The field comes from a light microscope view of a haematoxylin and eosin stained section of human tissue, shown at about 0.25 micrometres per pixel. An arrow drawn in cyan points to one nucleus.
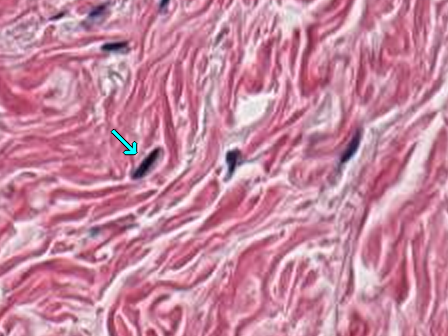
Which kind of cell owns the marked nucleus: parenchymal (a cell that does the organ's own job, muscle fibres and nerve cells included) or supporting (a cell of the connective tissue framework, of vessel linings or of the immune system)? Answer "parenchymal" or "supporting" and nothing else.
supporting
